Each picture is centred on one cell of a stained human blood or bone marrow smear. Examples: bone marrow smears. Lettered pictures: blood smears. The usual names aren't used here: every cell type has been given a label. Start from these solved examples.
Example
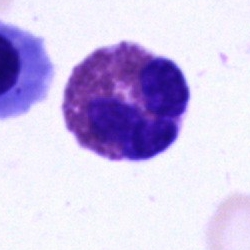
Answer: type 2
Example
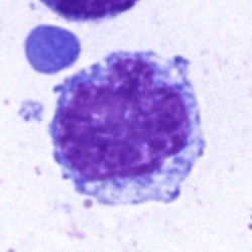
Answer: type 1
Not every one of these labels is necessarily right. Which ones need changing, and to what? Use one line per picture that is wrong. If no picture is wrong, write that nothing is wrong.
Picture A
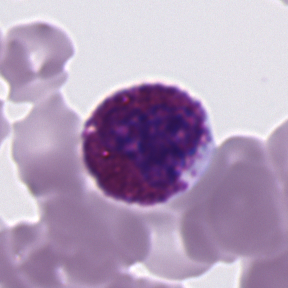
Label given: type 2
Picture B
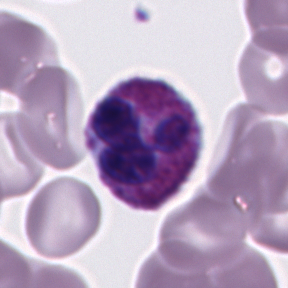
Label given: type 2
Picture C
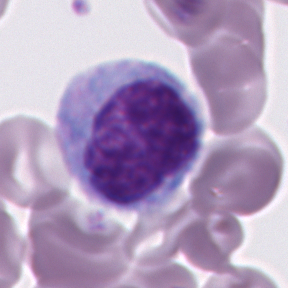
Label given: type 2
C: change type 2 to type 1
